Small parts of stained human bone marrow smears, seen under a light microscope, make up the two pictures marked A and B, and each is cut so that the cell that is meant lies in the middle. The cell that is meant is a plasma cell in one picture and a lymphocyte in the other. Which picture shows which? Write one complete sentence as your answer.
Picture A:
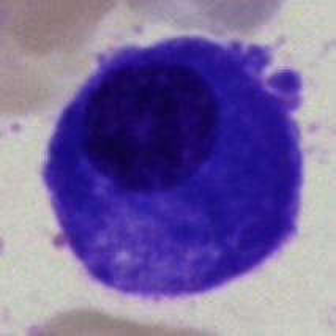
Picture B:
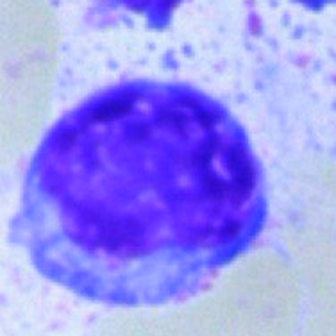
In picture A the cell is a plasma cell; in picture B, a lymphocyte.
